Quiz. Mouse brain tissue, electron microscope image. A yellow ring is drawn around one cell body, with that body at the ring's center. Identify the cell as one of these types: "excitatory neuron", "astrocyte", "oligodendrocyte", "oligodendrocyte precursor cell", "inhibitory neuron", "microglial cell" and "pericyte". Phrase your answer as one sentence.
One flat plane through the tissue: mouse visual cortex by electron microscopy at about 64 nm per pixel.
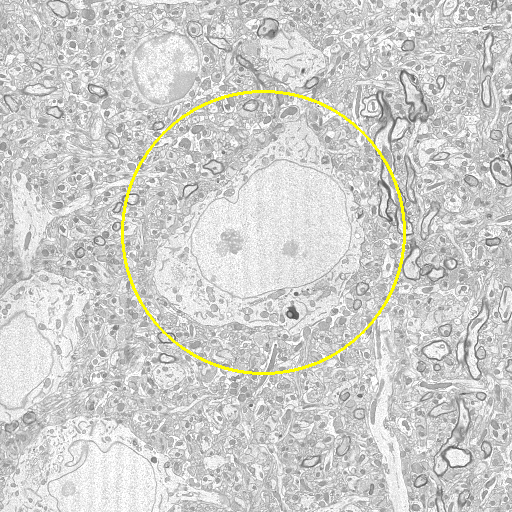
At the center of the ring sits an excitatory neuron.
